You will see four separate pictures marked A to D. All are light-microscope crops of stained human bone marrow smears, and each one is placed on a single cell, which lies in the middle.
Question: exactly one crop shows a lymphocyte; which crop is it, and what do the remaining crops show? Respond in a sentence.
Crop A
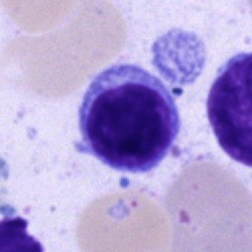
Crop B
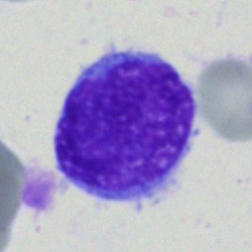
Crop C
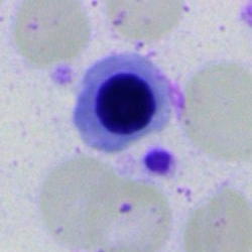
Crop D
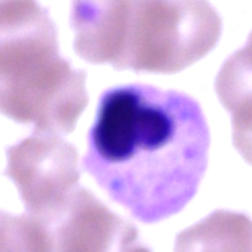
Crop A is classified as a lymphocyte, whereas crop B is a blast, crop C is an erythroblast and crop D is a segmented neutrophil.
